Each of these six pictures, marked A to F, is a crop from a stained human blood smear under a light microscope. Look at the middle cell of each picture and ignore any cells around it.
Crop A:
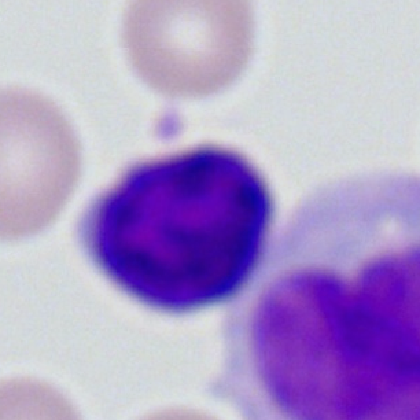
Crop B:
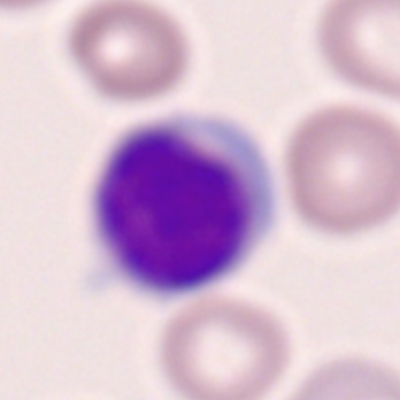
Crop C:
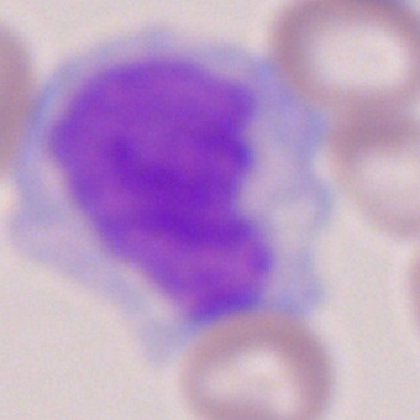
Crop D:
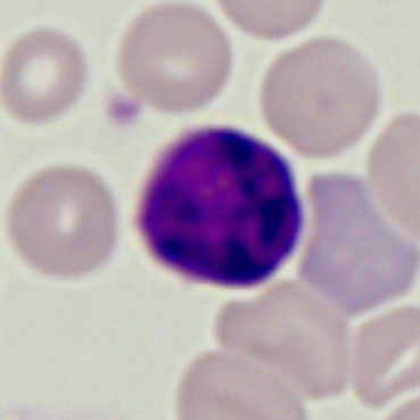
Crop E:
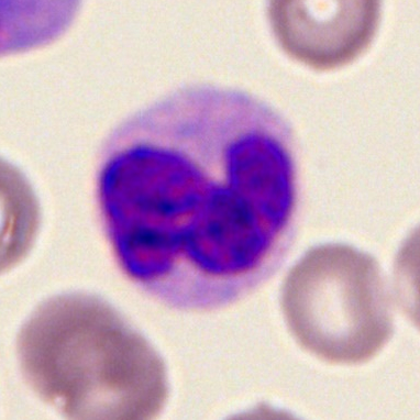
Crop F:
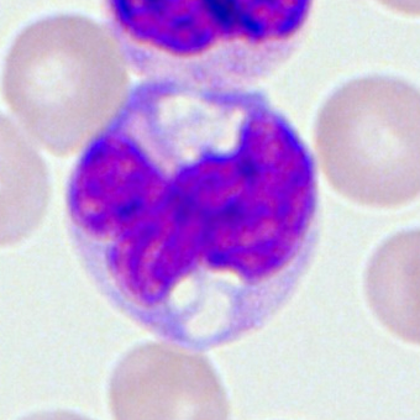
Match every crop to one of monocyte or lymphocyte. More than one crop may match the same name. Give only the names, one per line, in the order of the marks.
lymphocyte
lymphocyte
monocyte
lymphocyte
monocyte
monocyte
